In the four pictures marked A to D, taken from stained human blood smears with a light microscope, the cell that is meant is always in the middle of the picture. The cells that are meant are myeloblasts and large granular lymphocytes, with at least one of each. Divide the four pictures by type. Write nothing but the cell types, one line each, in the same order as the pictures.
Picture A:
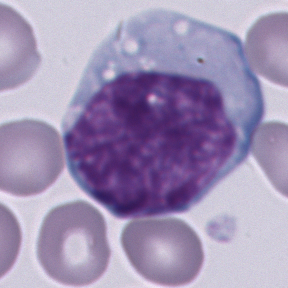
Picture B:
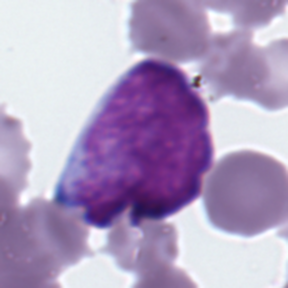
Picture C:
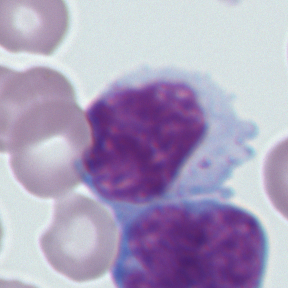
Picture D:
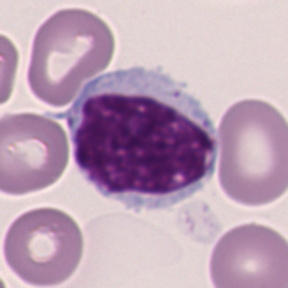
myeloblast
myeloblast
large granular lymphocyte
large granular lymphocyte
